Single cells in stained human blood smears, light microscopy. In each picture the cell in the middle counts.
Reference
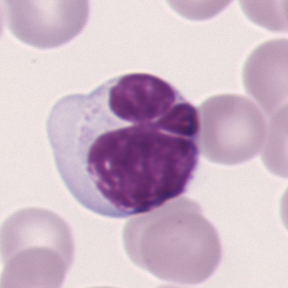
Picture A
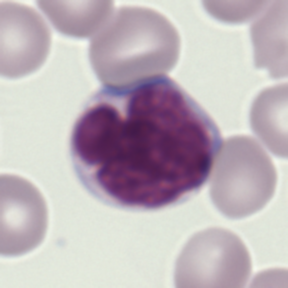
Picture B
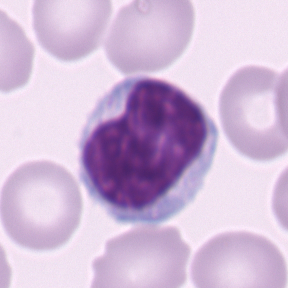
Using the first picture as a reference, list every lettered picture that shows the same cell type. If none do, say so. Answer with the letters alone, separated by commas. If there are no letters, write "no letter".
A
